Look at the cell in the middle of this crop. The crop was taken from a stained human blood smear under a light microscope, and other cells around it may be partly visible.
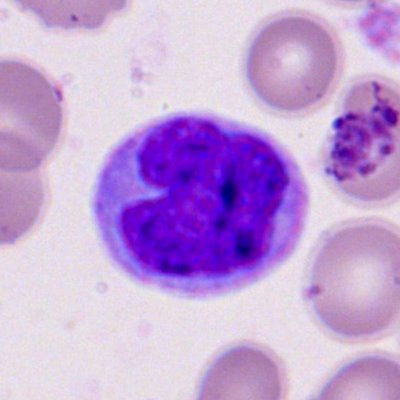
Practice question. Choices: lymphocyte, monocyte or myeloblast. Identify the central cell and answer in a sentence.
In the middle of this smear crop is a monocyte.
